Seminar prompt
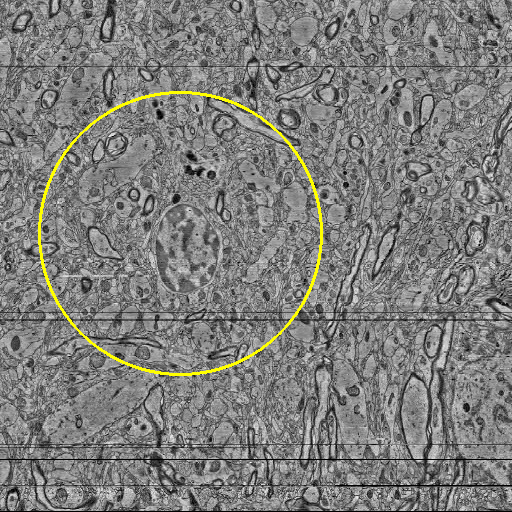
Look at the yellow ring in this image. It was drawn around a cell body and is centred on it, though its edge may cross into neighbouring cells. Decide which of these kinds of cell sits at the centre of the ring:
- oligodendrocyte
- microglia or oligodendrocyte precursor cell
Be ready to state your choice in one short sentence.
The kind of cell at the ring's centre is a microglial cell or oligodendrocyte precursor cell.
